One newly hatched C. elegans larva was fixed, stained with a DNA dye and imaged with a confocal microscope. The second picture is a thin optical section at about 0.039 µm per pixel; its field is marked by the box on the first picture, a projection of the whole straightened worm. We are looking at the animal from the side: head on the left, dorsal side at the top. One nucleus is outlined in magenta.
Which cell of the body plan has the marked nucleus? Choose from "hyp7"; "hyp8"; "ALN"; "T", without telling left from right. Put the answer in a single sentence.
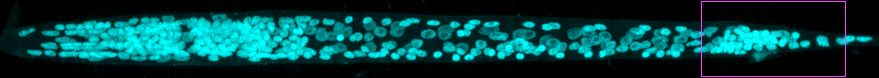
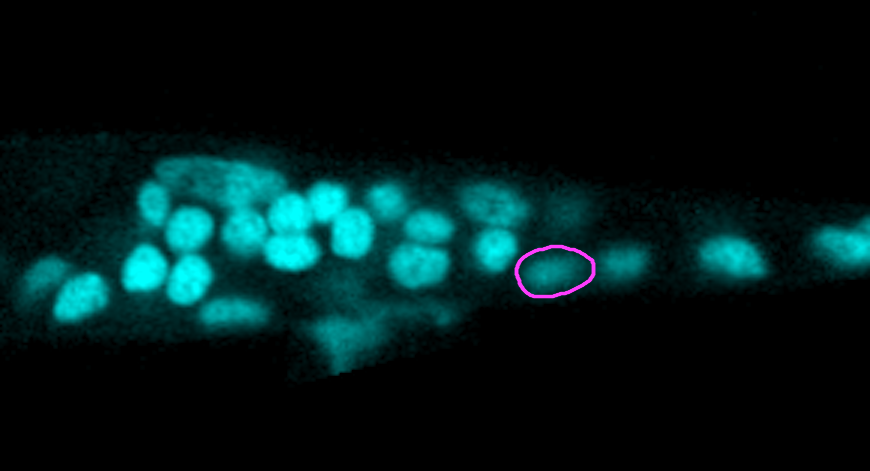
The nucleus is from hyp7, a hypodermal cell (hyp).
